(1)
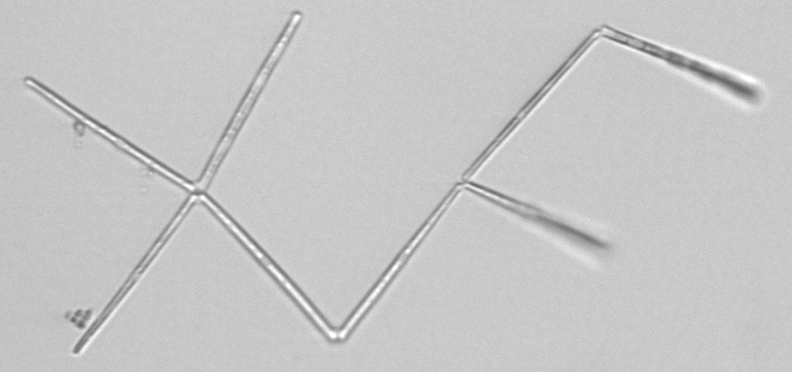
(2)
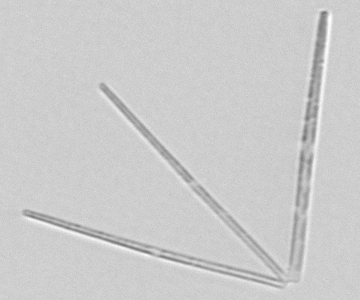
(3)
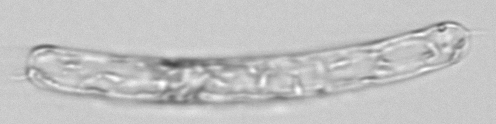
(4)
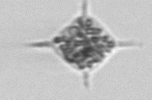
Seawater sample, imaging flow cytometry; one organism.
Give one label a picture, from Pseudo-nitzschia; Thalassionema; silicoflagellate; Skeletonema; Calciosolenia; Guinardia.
Picture 1: Thalassionema
Picture 2: Thalassionema
Picture 3: Guinardia
Picture 4: silicoflagellate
